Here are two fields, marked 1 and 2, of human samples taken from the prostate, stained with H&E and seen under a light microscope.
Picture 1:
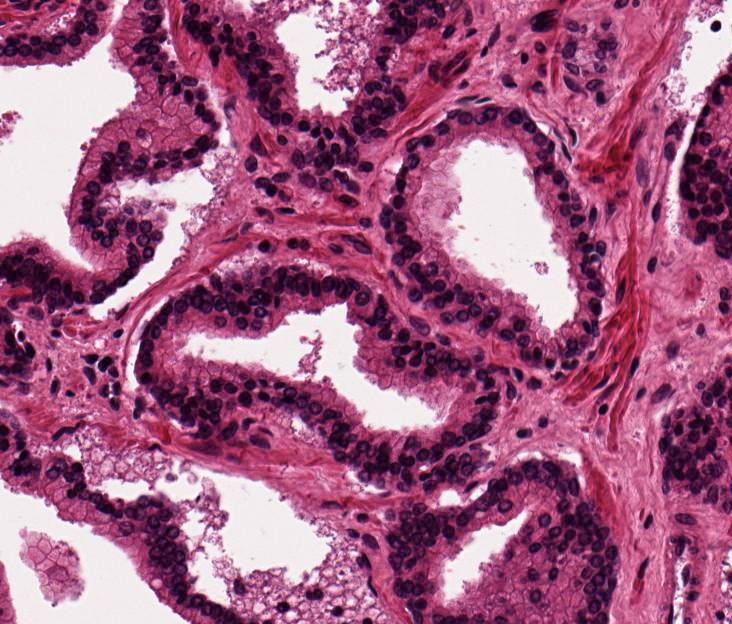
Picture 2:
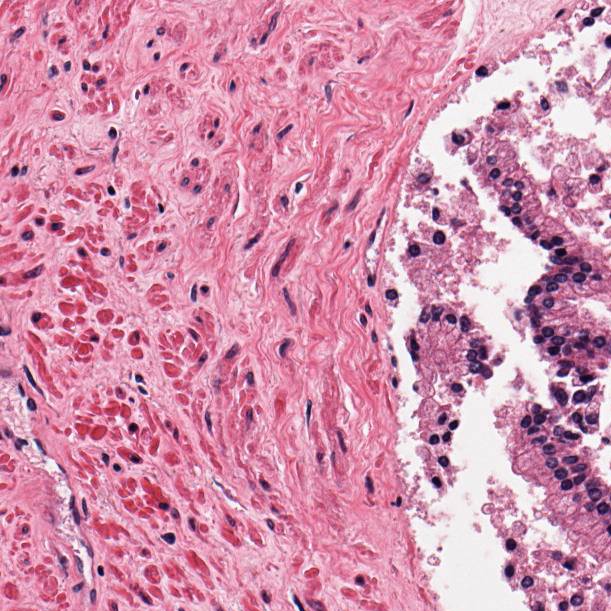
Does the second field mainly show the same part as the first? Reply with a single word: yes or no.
no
